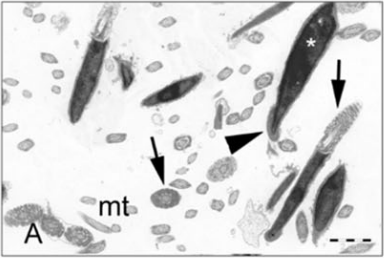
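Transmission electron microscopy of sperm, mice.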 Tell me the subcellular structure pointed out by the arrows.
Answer: midpiece with mitochondrial sheath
